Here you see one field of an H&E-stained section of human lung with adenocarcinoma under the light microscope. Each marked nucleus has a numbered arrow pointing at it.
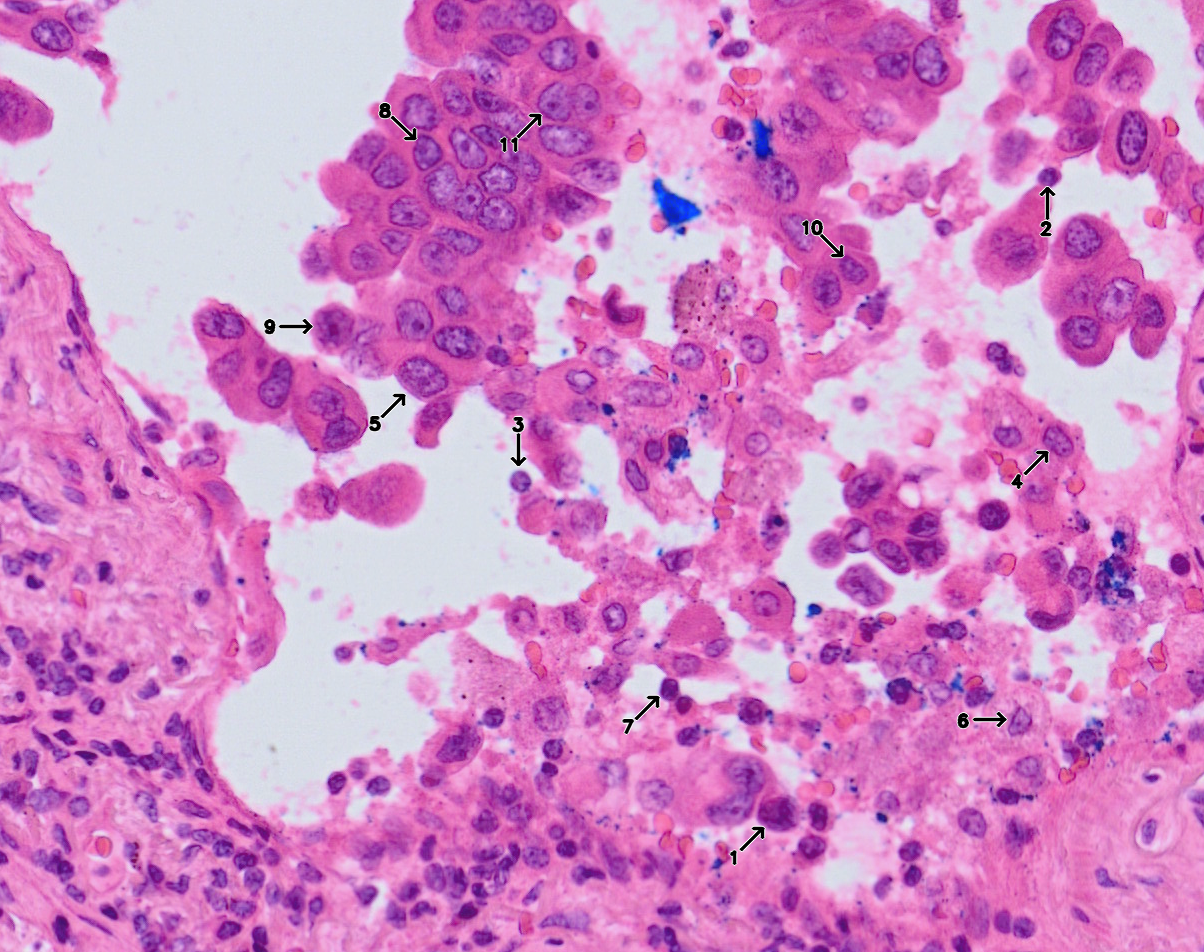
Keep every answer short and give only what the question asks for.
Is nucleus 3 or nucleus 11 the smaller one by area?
3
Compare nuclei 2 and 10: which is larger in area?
10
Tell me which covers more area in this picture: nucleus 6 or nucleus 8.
8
